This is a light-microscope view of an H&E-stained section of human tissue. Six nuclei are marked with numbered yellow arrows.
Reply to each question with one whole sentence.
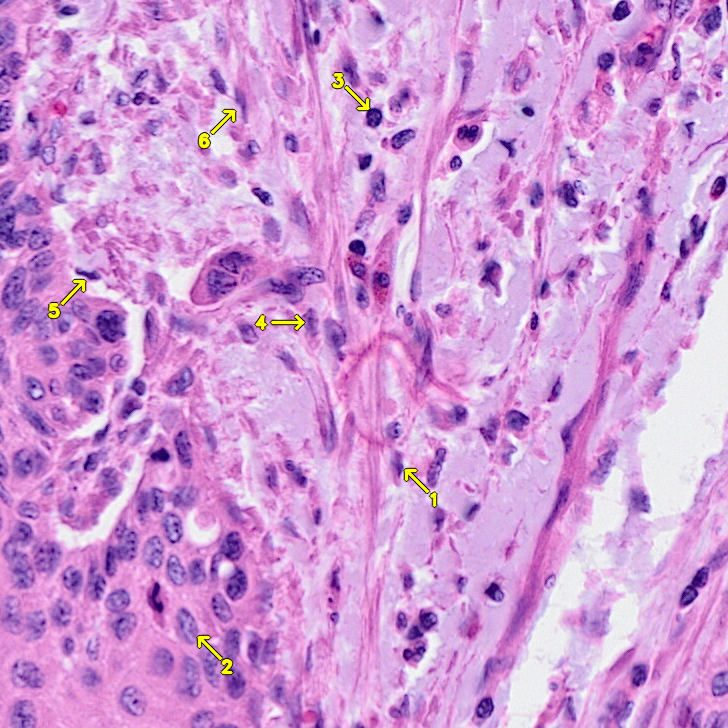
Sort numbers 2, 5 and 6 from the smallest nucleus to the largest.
From smallest to largest, the order is 5, 6, 2.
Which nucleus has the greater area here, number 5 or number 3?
Number 3 is larger; its area is about 2 times that of number 5.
